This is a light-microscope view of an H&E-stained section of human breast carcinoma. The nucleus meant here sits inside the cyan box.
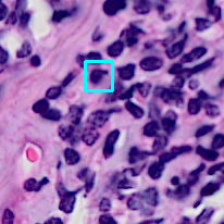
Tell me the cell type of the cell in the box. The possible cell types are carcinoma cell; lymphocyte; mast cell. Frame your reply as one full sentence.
Recorded by type, the cell in the box is a lymphocyte.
